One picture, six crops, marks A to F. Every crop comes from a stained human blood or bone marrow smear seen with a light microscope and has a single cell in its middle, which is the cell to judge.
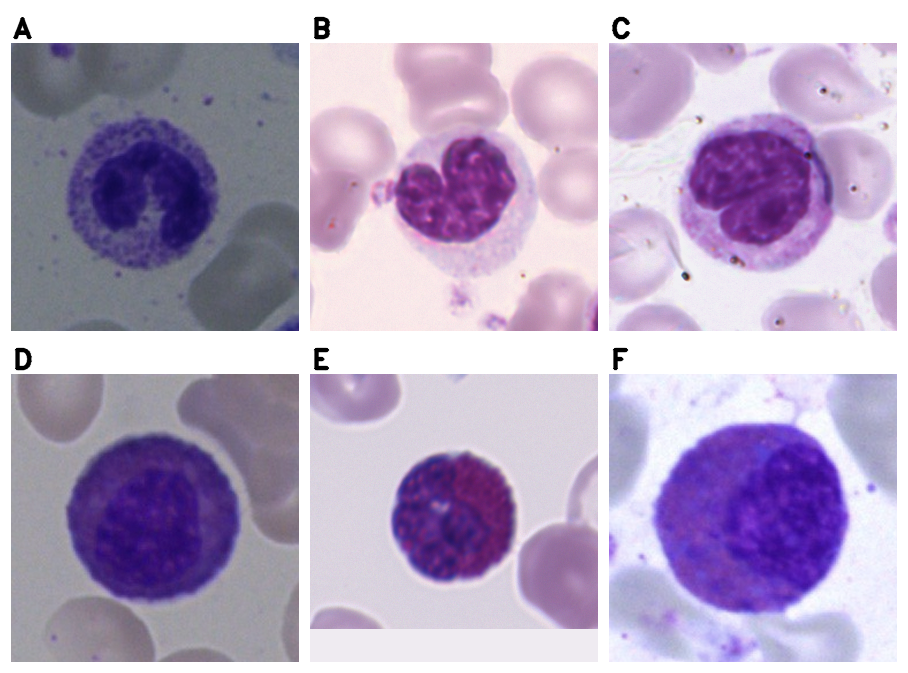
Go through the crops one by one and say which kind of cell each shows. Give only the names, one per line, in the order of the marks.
band neutrophil
band neutrophil
band neutrophil
eosinophil
eosinophil
eosinophil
